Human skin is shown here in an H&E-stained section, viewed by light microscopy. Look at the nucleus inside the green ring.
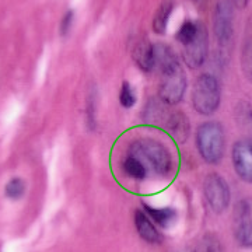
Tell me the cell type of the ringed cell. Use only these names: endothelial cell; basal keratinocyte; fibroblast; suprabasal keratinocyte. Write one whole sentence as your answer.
The identity of the ringed cell: it is a basal keratinocyte.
